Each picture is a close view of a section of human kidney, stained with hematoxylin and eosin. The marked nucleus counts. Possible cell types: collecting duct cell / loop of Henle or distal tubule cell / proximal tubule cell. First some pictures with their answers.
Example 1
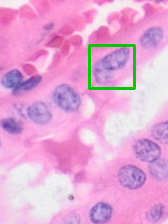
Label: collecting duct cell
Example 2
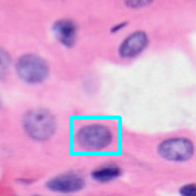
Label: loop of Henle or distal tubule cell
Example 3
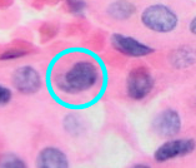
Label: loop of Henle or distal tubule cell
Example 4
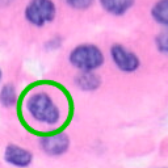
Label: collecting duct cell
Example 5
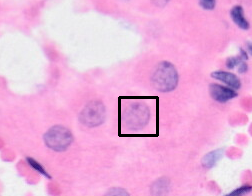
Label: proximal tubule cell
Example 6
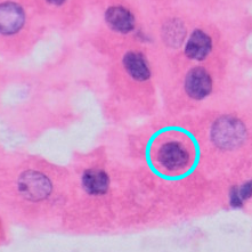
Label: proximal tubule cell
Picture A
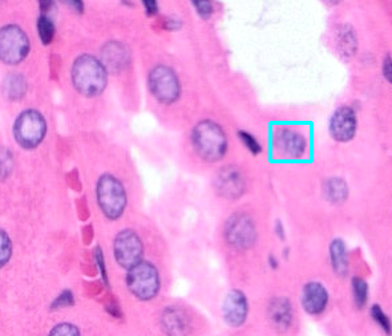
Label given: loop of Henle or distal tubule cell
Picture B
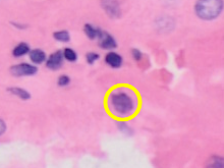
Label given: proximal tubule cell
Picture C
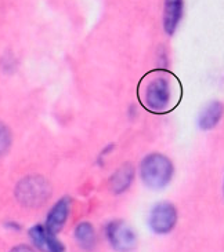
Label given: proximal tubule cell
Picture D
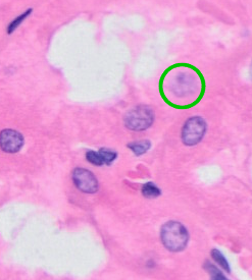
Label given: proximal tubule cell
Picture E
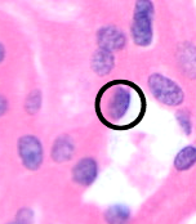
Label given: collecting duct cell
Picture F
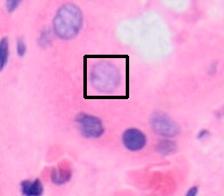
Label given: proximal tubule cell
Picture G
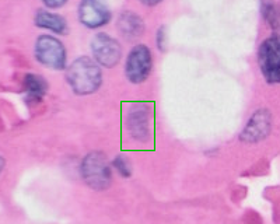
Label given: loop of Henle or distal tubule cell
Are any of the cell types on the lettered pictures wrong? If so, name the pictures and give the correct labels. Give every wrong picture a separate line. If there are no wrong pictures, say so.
C: loop of Henle or distal tubule cell, not proximal tubule cell
E: loop of Henle or distal tubule cell, not collecting duct cell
